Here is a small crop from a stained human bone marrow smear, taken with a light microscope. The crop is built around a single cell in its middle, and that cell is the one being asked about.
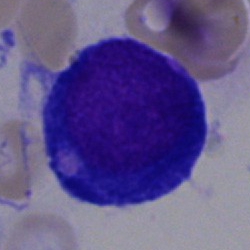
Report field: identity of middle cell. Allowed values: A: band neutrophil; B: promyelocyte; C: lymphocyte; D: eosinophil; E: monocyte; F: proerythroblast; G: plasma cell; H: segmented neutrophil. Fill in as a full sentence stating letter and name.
Here the right option is F, as the cell in the middle is a proerythroblast.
